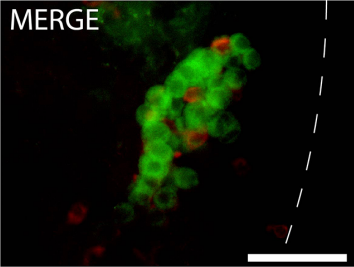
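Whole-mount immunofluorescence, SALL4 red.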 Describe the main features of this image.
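The cells are rounded, roughly uniform, with green cytoplasm and darker central nuclei, stacked in a narrow column a few cells wide. Several cells within the band carry red signal, mostly small and rounded, some at the band's edge, a few faint red cells lie outside it.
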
